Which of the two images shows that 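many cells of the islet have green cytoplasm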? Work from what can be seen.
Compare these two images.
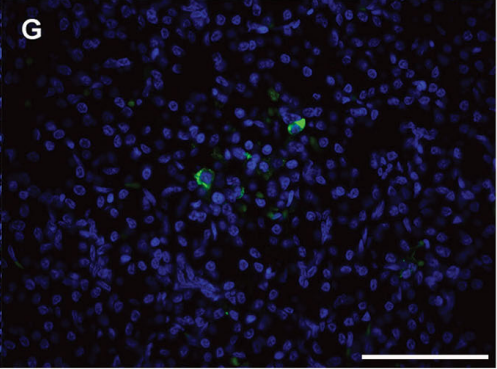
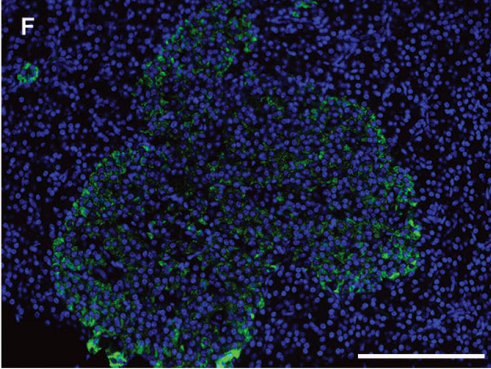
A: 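First image: only a few scattered cells show green signal among blue nuclei.
Answer: the second image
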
